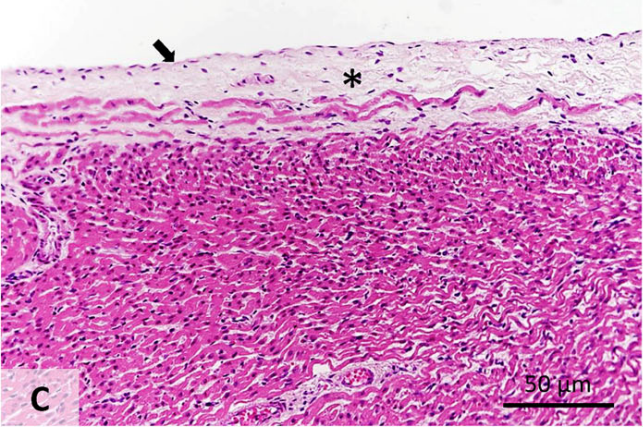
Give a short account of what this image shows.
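This shows the inner lining of the heart wall with the muscle beneath it. At the surface a thin lining with flattened nuclei overlies a broad, pale, loosely arranged fibrous layer with few elongated nuclei and wavy pink strands running parallel to the surface. The thickness of the pale fibrous layer beneath the lining is the striking feature.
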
